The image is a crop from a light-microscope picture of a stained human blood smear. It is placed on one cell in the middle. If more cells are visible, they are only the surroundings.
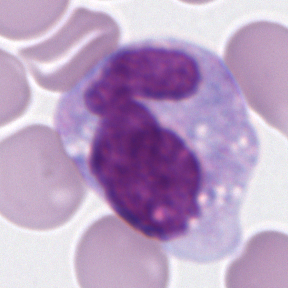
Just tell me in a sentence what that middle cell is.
Classified as a monocyte is the cell in the middle of this crop.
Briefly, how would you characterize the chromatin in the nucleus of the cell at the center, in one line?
The chromatin shows a fine pattern without coarse clumps.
